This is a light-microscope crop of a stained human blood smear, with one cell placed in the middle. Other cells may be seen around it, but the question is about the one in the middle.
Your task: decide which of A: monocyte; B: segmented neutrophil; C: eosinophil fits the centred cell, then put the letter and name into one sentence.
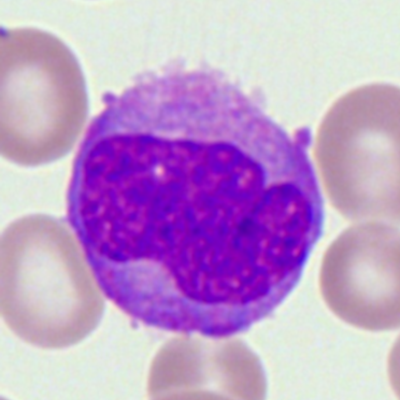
The middle cell of the crop is a monocyte; accordingly, option A is correct.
